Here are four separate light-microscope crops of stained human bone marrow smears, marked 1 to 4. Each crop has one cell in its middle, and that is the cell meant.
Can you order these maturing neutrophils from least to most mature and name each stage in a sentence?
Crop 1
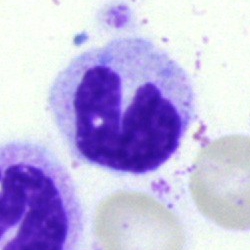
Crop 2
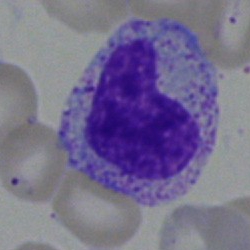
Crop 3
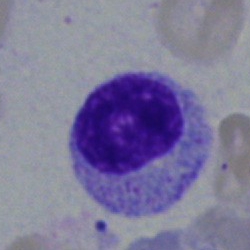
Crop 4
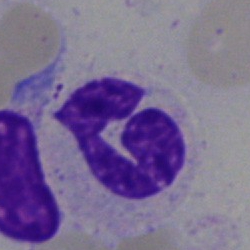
From least to most mature, the cells come in the order crop 3 (a myelocyte), crop 2 (a metamyelocyte), crop 1 (a band neutrophil) and crop 4 (a segmented neutrophil).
